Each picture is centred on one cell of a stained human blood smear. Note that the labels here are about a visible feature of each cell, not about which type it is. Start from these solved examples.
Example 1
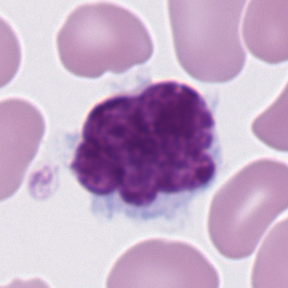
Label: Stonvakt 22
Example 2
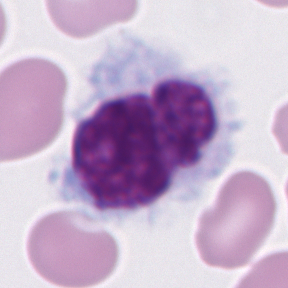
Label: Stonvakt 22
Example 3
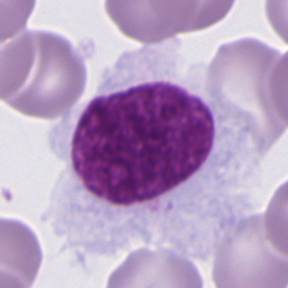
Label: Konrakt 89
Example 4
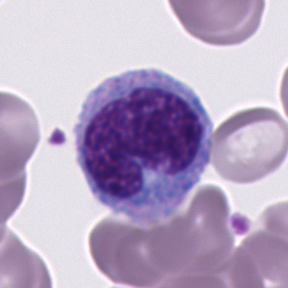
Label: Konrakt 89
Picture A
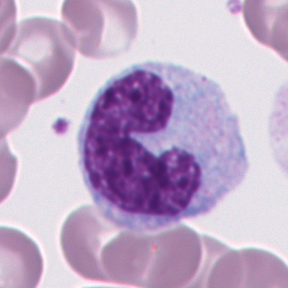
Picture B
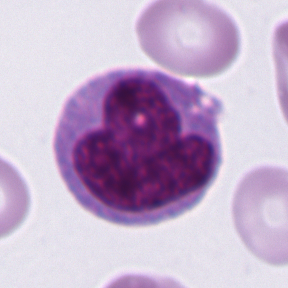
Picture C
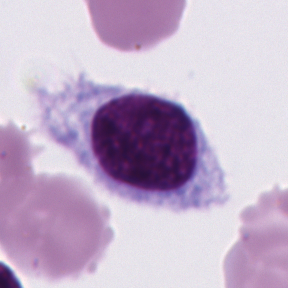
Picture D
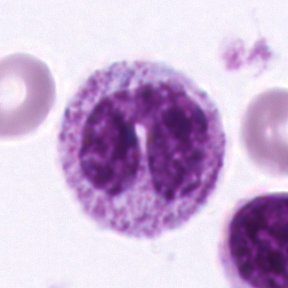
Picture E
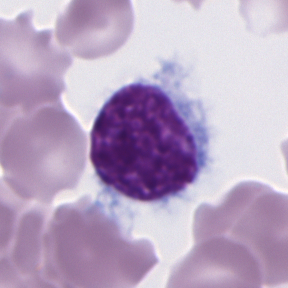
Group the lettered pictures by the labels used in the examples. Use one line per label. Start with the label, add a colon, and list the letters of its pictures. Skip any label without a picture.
Stonvakt 22: B, D
Konrakt 89: A, C, E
